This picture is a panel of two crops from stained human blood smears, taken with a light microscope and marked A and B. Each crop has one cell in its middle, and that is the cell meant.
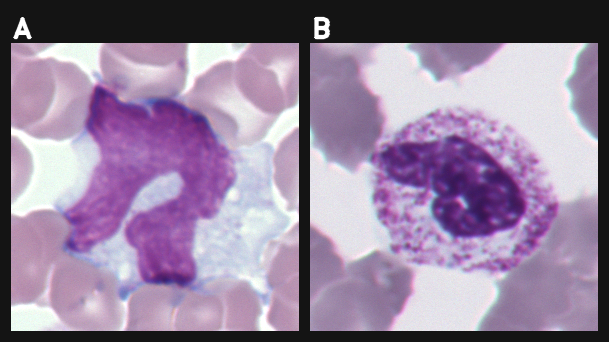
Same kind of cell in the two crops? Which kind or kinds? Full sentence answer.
No, cell A is a monocyte, and cell B is a segmented neutrophil.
